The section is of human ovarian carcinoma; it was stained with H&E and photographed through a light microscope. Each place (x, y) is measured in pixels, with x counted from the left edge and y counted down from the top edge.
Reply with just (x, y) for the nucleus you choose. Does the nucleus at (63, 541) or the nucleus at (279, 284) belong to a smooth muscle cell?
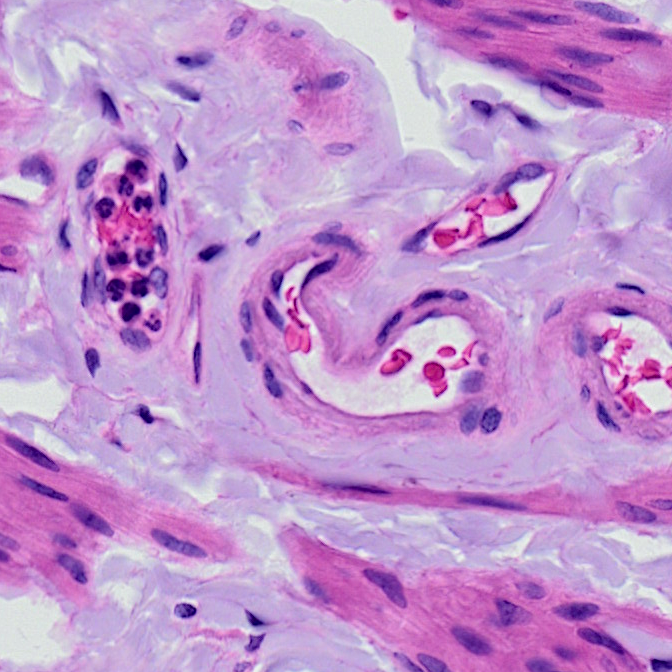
(63, 541)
